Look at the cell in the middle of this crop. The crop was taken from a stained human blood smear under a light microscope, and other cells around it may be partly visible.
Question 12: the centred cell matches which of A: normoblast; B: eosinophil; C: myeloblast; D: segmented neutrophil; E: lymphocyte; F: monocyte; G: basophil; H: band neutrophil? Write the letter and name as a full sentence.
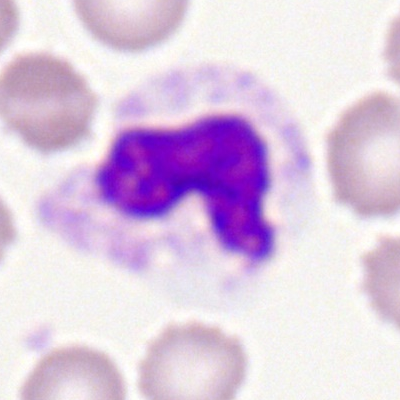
The cell positioned centrally is a band neutrophil, as given in option H, which is correct.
